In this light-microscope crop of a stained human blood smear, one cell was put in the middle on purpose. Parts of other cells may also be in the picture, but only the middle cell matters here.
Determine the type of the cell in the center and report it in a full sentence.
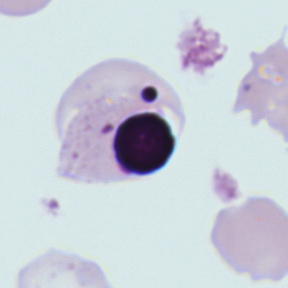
By type, the central cell of the crop is a normoblast.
